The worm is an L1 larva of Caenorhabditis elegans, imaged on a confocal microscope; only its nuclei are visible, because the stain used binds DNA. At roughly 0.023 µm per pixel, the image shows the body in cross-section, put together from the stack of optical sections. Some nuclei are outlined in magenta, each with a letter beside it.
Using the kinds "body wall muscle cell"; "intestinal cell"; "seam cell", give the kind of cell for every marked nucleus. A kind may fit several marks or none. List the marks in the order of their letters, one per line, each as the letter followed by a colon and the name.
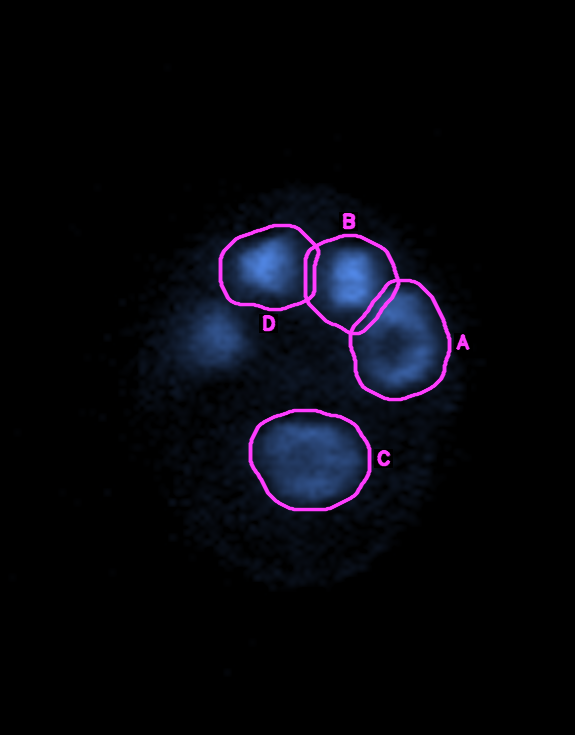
A: seam cell
B: body wall muscle cell
C: intestinal cell
D: body wall muscle cell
